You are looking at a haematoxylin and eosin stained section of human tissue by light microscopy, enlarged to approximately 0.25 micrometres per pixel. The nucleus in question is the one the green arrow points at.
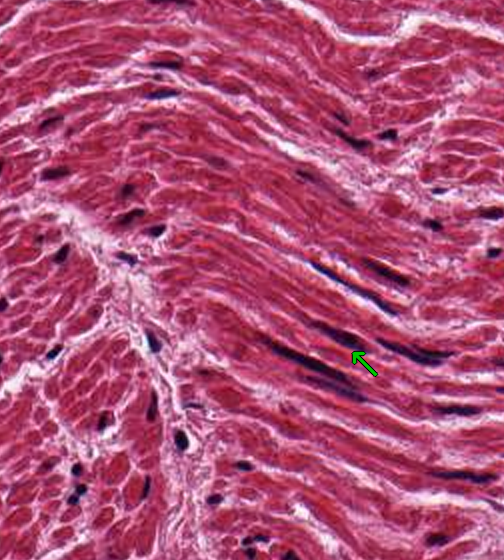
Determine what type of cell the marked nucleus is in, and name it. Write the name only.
smooth muscle cell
